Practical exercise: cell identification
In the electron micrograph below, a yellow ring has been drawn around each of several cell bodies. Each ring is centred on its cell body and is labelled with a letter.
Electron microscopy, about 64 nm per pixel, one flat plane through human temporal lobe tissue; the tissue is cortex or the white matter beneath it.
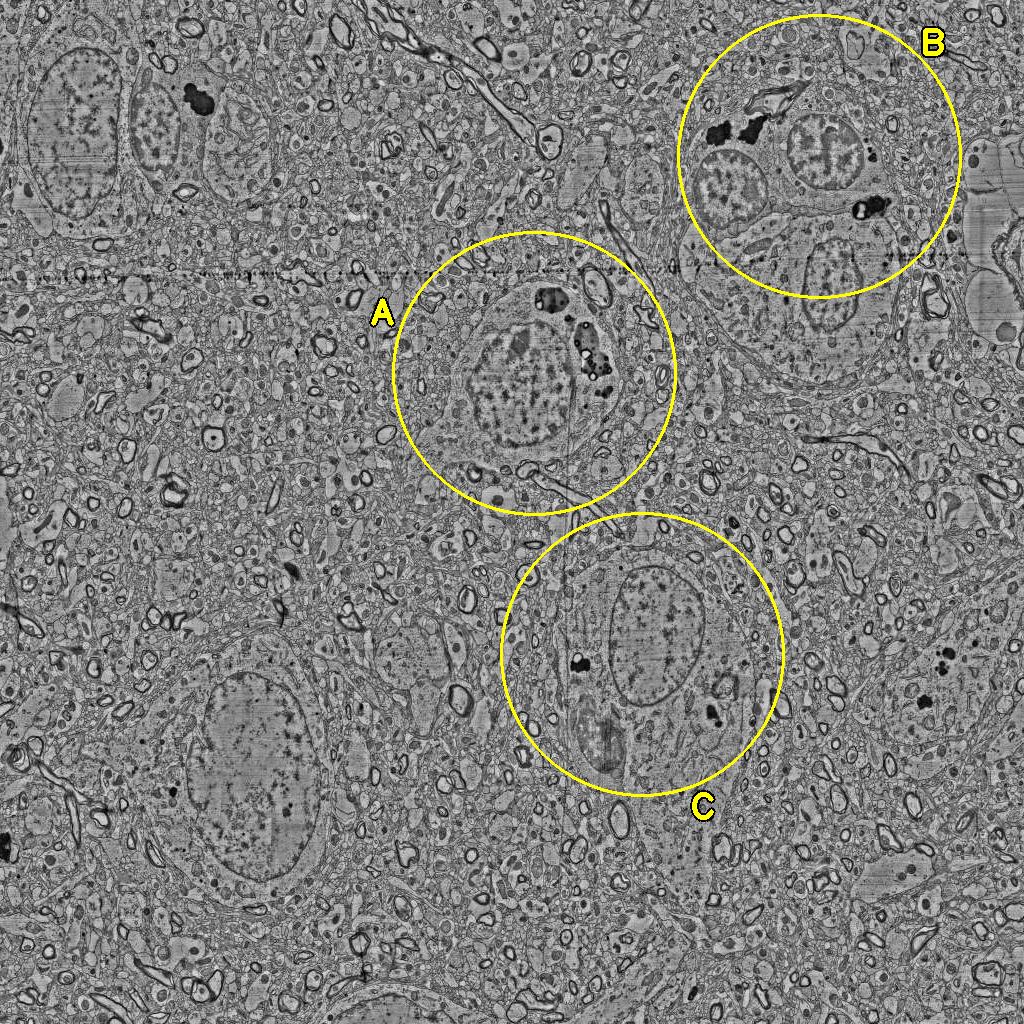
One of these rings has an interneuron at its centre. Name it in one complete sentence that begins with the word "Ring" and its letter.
Ring A has that cell at its centre.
